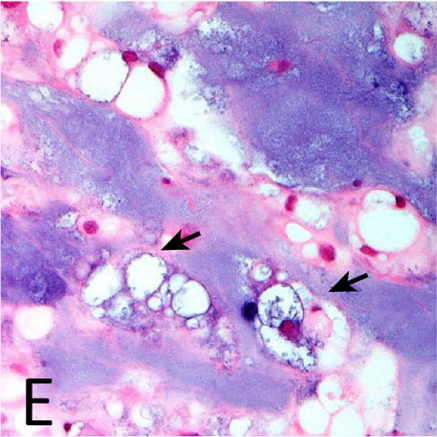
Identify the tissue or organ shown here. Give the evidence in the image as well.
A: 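The cells lie in a pale blue-purple, amorphous background matrix.
Myxoid stroma.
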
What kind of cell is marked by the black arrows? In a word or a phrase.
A: Physaliphorous cells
